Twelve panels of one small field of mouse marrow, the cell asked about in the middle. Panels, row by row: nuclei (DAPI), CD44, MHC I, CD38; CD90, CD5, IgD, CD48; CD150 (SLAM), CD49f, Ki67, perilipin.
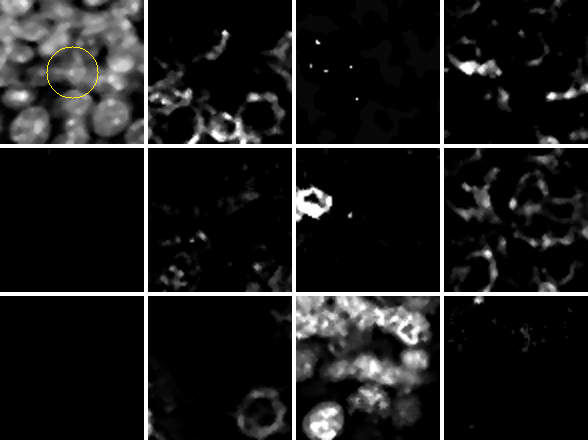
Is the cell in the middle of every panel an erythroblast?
Yes, it is an erythroblast.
